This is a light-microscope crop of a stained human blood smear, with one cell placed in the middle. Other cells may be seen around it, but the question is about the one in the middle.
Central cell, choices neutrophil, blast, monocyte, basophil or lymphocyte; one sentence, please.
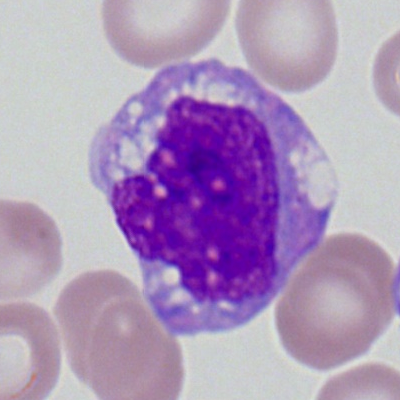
Classification of the middle cell gives a monocyte.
